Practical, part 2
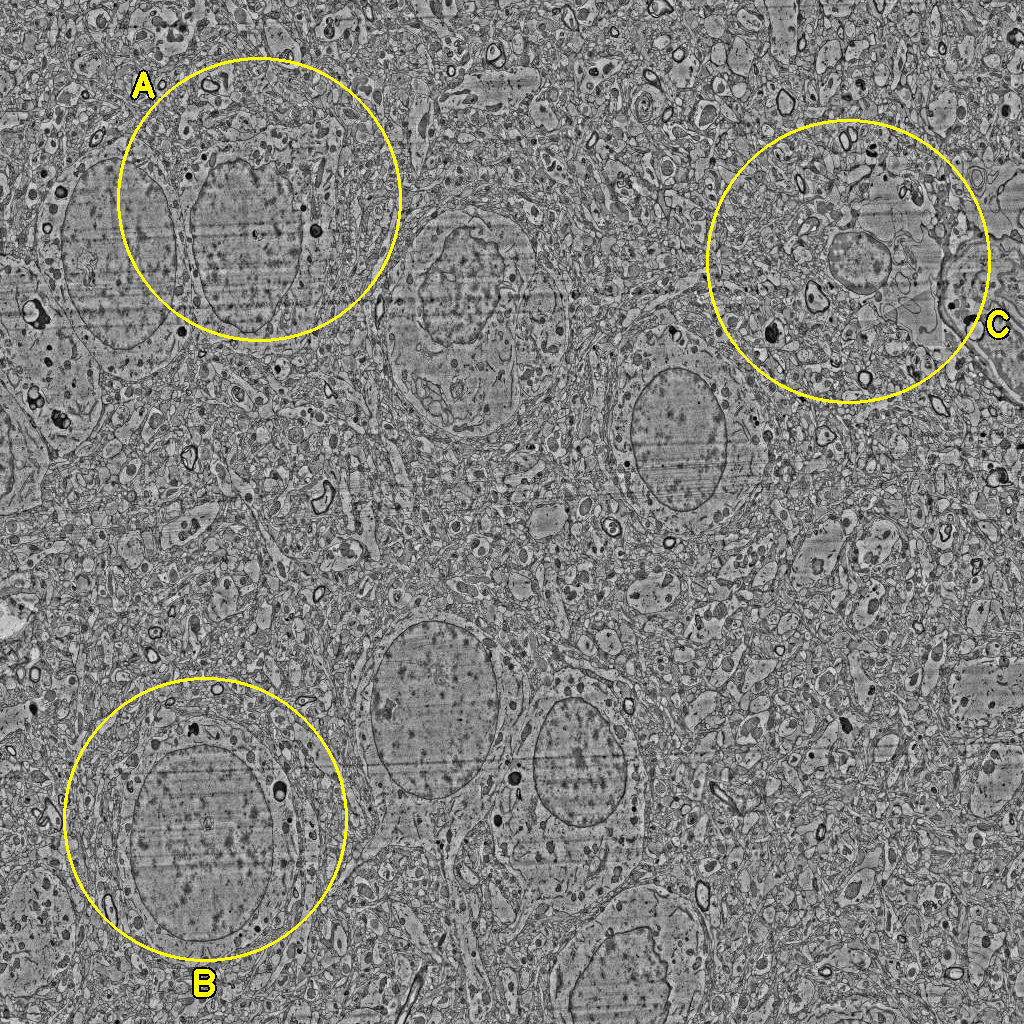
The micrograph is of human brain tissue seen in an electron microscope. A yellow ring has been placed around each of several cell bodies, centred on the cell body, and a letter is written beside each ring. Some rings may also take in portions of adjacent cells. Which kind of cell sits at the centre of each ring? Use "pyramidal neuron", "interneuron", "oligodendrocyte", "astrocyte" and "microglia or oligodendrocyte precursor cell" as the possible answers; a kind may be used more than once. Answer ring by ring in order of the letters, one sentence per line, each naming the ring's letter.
Ring A sits on a pyramidal neuron.
Ring B sits on a pyramidal neuron.
Ring C sits on a microglial cell or oligodendrocyte precursor cell.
